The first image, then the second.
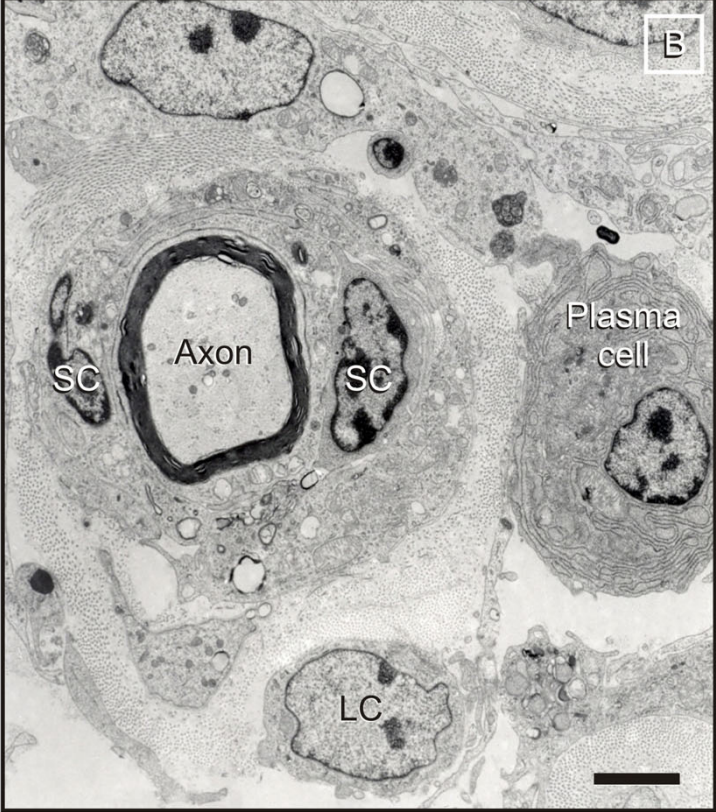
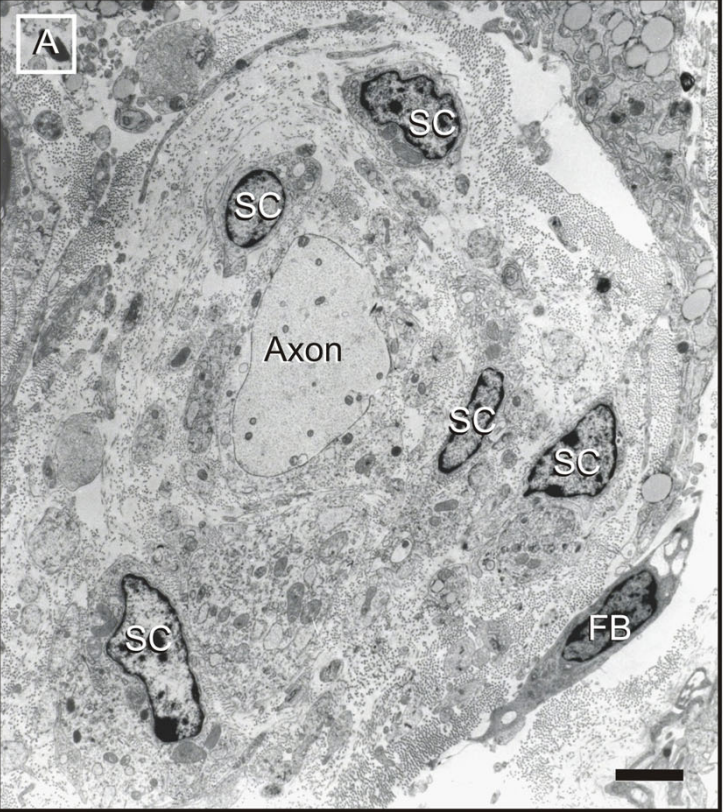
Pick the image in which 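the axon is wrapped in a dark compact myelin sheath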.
The first image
